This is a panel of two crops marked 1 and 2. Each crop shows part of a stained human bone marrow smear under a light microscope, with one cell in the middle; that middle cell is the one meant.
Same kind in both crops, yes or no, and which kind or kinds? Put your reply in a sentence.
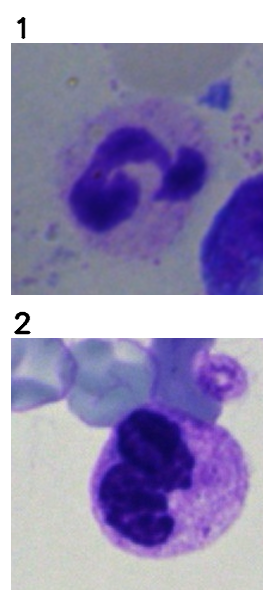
Yes, both crops show segmented neutrophils, with no exception.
